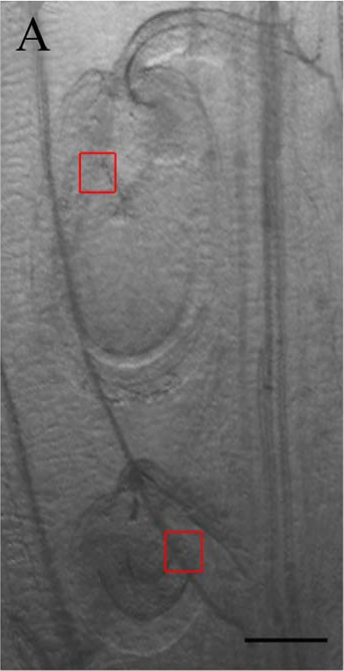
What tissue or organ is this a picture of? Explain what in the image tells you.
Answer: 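Two oval bodies with layered outer coats lie stacked along a stalk-bearing axis. Each oval body is attached by a slender stalk. The upper oval body is larger than the lower one.
Conclusion: Ovules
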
